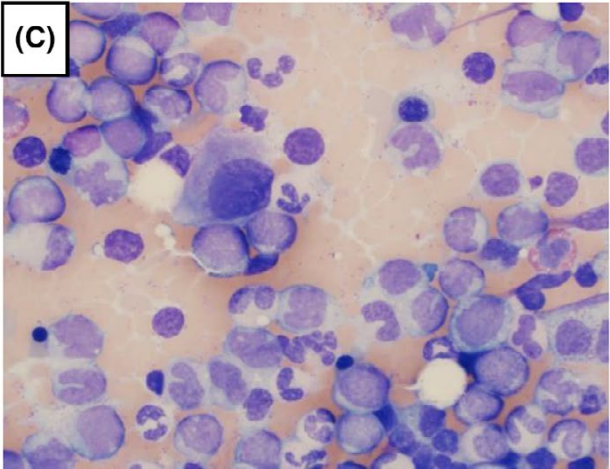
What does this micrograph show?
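This bone marrow aspirate smear is packed with myeloid and monocytic cells at many stages. Many cells are large with round to folded nuclei and blue-grey cytoplasm, mixed with neutrophils whose nuclei are segmented and whose cytoplasm looks pale with few granules. Near the centre sits a much larger megakaryocyte with a single round dark nucleus instead of the usual lobed one, surrounded by pale blue cytoplasm. Small dark round nuclei of red cell precursors are scattered between them, and a few empty rounded spaces are seen.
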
